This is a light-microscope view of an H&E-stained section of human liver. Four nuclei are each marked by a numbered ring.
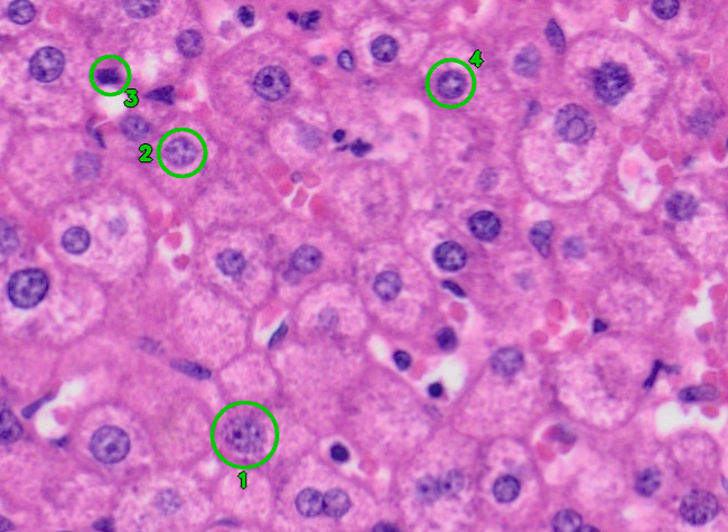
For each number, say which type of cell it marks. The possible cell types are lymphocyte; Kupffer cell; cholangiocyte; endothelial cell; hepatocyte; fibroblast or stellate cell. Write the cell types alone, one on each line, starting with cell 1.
hepatocyte
hepatocyte
fibroblast or stellate cell
hepatocyte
